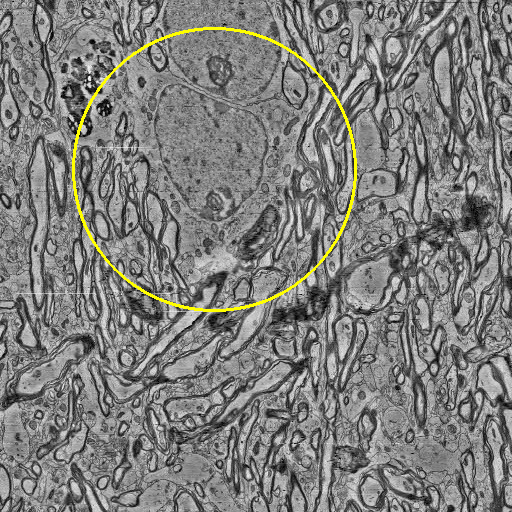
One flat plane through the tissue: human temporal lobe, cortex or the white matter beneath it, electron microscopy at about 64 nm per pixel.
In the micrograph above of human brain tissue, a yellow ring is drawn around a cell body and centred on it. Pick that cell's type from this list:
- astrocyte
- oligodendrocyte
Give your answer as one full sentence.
Going by the list, an astrocyte is the cell on which the yellow ring is centred.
